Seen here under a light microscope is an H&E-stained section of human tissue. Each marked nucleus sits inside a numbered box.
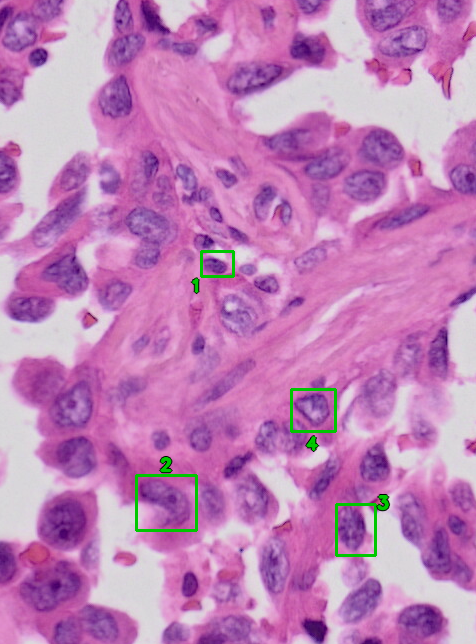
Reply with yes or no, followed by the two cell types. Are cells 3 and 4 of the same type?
Yes, both are carcinoma cells.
